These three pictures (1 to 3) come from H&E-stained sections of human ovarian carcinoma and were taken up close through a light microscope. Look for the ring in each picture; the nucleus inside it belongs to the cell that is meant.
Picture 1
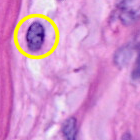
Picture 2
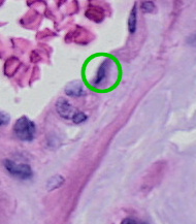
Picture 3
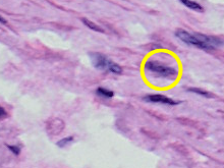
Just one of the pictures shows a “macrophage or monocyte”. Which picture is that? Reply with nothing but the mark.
1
